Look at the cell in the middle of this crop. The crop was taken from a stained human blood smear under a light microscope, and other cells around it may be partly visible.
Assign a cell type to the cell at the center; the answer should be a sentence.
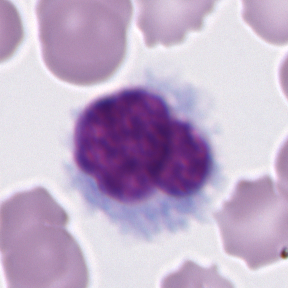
The cell positioned in the middle of the field is a hairy cell.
